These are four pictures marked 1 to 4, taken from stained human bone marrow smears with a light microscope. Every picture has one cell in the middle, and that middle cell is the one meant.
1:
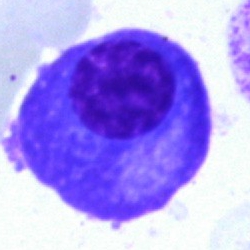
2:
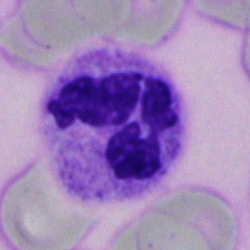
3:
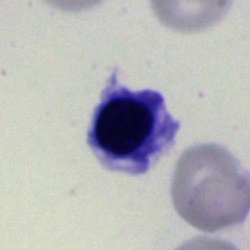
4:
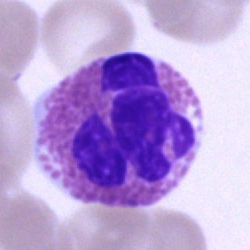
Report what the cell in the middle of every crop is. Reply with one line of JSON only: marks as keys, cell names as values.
{"1": "plasma cell", "2": "segmented neutrophil", "3": "erythroblast", "4": "eosinophil"}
